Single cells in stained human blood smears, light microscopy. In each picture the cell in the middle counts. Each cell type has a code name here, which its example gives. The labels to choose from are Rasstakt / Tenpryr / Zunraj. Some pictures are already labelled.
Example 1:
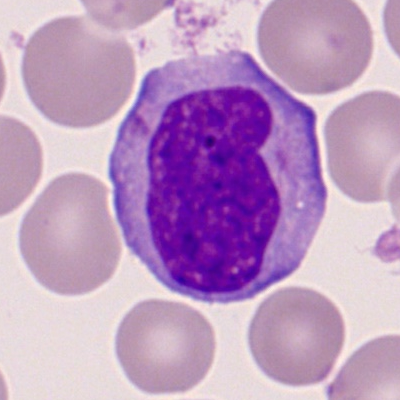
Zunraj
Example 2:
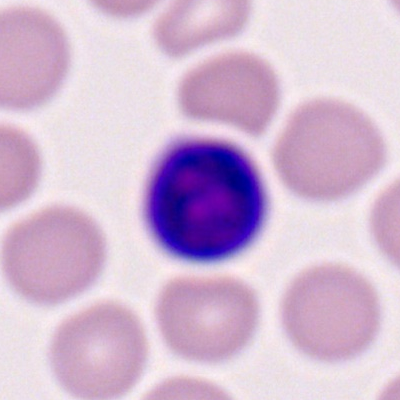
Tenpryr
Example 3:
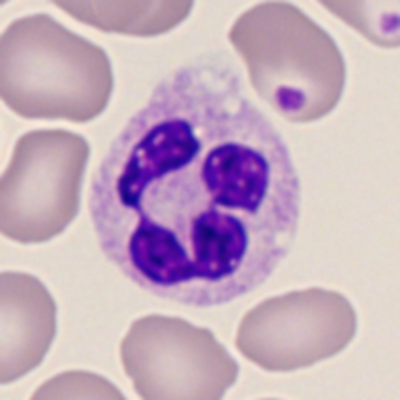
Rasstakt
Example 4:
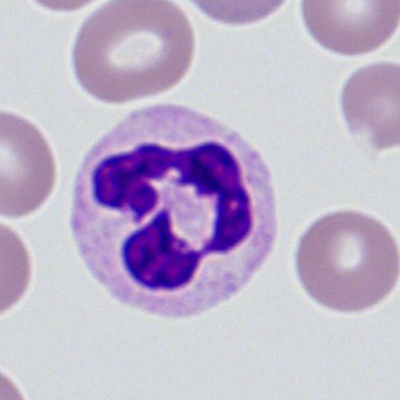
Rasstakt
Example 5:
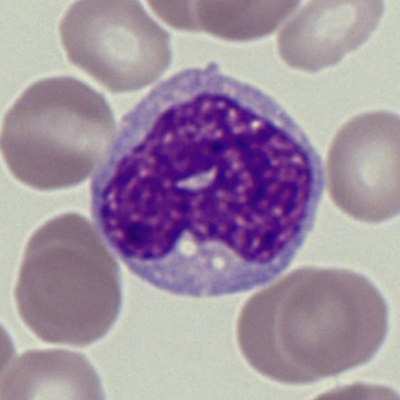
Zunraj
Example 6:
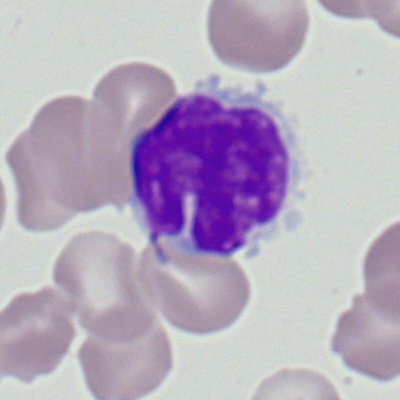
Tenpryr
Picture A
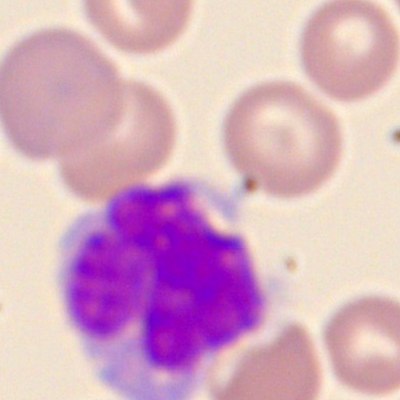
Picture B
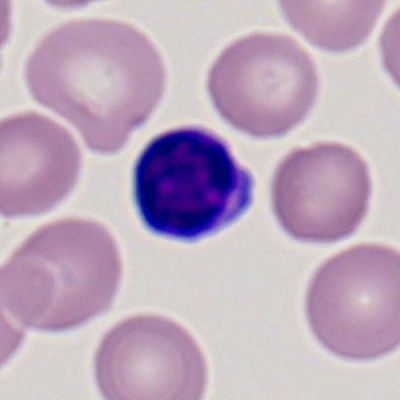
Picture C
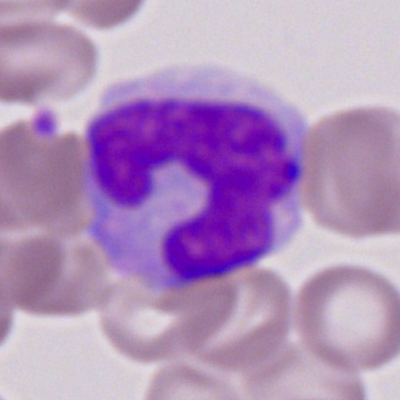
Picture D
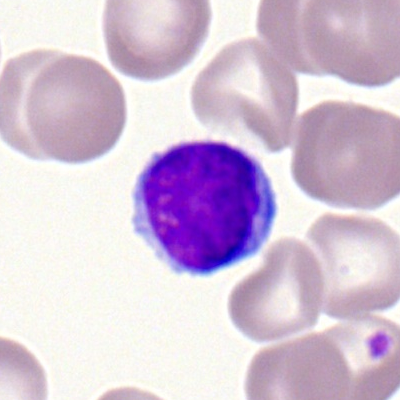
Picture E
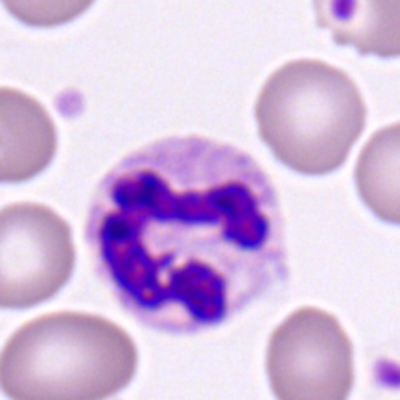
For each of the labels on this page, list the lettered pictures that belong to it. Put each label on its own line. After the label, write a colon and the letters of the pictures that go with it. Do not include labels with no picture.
Rasstakt: E
Tenpryr: B, D
Zunraj: A, C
